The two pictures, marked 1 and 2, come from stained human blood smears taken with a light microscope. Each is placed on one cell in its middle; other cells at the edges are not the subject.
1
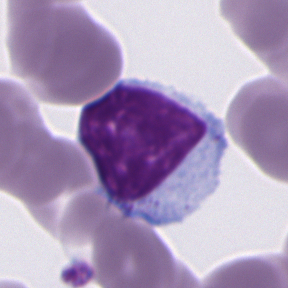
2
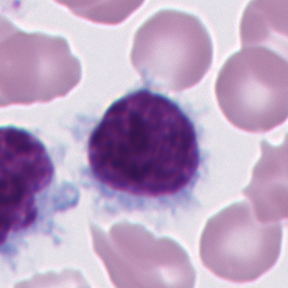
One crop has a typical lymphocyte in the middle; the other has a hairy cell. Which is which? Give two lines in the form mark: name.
1: typical lymphocyte
2: hairy cell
